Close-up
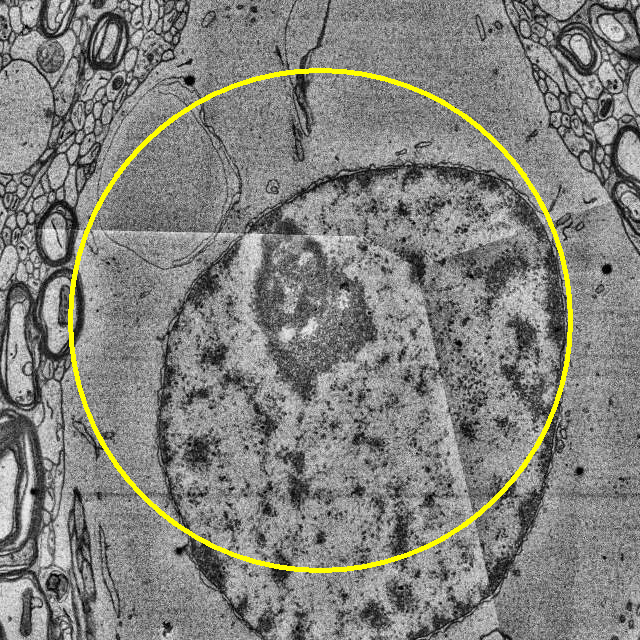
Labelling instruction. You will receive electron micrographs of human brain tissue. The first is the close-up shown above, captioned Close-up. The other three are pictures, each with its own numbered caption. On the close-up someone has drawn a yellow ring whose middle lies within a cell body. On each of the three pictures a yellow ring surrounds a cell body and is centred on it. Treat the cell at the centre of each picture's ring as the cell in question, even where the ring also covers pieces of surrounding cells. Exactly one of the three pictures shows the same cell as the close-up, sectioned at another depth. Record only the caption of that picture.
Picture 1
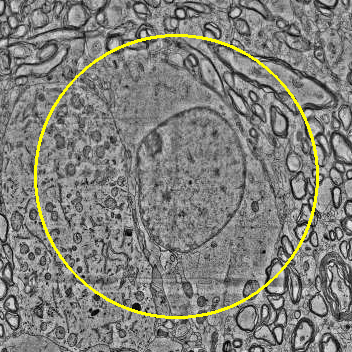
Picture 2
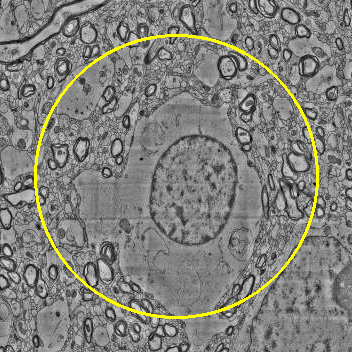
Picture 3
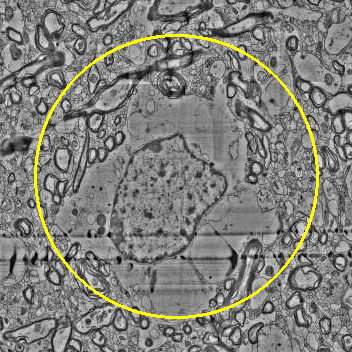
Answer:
Picture 2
